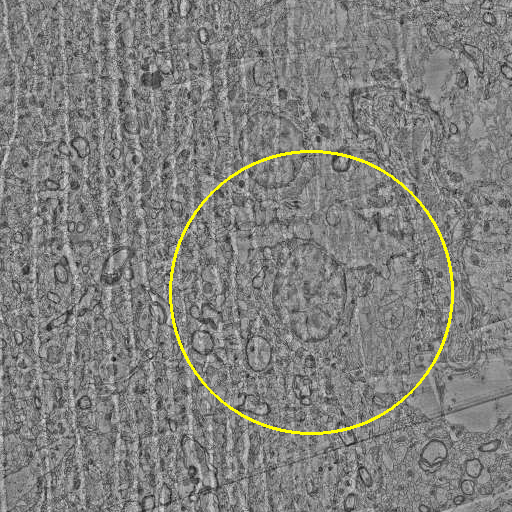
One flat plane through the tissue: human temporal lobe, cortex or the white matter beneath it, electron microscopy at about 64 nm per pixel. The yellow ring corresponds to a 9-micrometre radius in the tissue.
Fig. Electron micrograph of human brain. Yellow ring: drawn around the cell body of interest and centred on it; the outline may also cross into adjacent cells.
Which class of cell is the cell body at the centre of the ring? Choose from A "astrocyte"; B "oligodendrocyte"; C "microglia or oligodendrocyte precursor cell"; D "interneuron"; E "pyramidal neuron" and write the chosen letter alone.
B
